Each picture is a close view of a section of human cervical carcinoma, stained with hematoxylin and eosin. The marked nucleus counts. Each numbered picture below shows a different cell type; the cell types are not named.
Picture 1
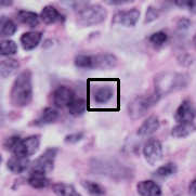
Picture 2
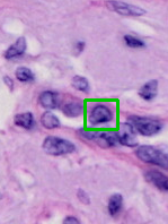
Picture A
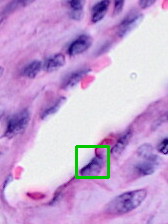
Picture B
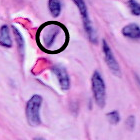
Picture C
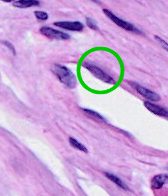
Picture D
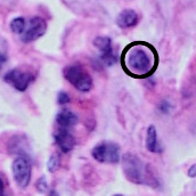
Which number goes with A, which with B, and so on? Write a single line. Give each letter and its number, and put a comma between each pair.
A 2, B 2, C 2, D 1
